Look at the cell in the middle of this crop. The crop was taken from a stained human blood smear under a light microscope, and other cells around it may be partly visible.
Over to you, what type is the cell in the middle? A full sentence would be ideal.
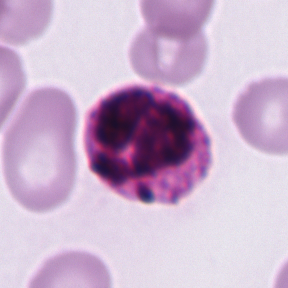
The central element of this crop is a cell, namely a basophil.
